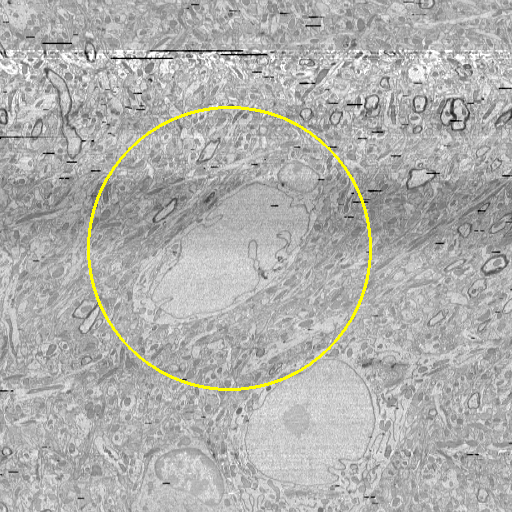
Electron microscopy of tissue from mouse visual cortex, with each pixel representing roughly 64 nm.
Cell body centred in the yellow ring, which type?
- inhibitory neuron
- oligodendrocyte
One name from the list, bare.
inhibitory neuron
